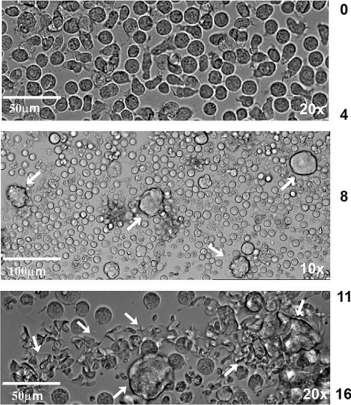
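The top image shows a crowded field of small, round, fairly uniform cells. In the middle image, scattered among many small round cells, a few much larger, round cells stand out, marked by arrows.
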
